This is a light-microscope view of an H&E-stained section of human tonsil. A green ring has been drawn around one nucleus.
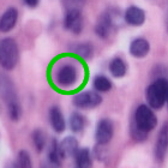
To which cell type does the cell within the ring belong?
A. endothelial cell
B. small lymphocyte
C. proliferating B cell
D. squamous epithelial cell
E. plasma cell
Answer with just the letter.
A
